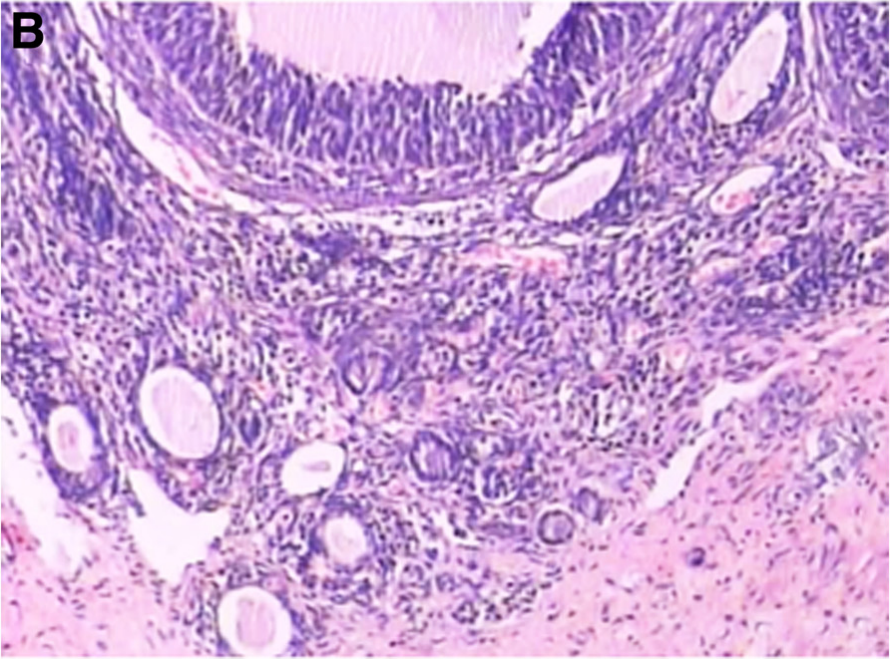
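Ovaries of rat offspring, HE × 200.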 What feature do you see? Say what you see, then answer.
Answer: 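Many small round follicles lie in the stroma in the lower half. Each small follicle has a central pale or eosinophilic core surrounded by a ring of small cells.
Hence: Preantral follicles.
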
